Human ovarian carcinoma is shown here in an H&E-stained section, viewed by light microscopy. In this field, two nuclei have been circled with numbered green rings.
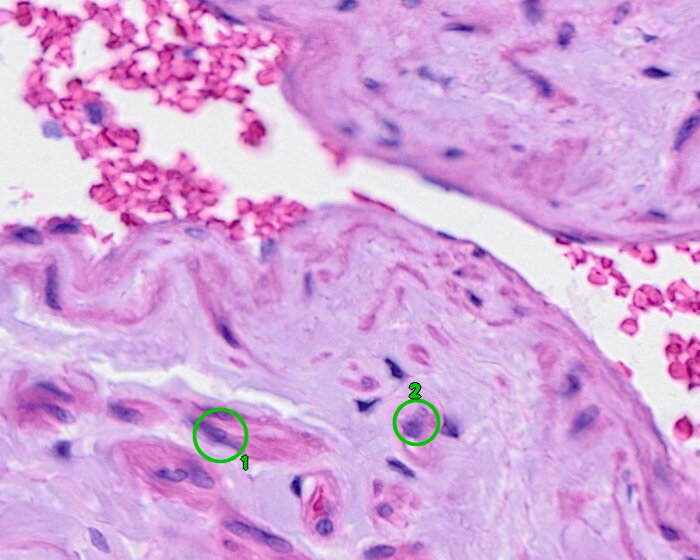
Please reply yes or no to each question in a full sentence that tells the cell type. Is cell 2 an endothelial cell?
Yes, the cell given number 2 is an endothelial cell.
